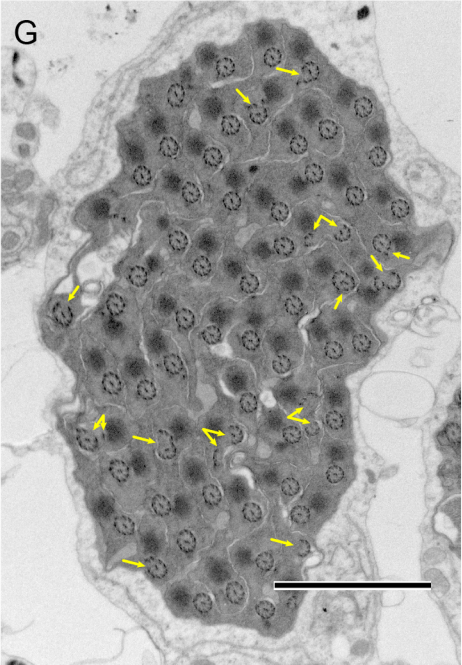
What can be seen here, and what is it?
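This is a low-power cross-section through a whole bundle of sperm, with dozens of axonemes cut across and packed side by side. Each axoneme appears as a small ring of dots in its own patch of cytoplasm, with a dark round body lying next to it. Several axonemes, marked by arrows, have their ring opened or parted into pieces instead of forming a closed circle.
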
